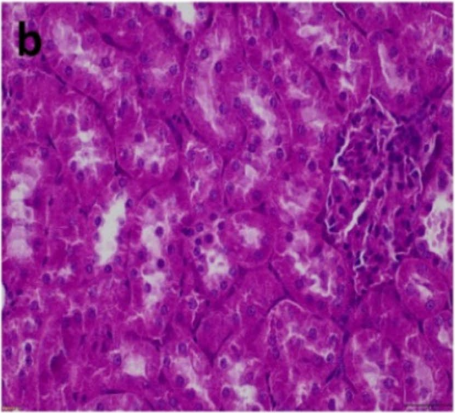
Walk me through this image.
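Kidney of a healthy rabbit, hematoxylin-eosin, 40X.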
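Renal cortex with closely packed tubules and a glomerulus at the right edge. Tubules are cut in cross and oblique section, lined by a single layer of cuboidal epithelial cells with round, dark purple nuclei and deeply eosinophilic cytoplasm. Lumens are narrow and irregular, with fluffy pale material at the apical surface. The glomerulus shows a cellular capillary tuft with many nuclei surrounded by a thin clear space. Tubules abut one another with little intervening interstitium; epithelium appears continuous and intact.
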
